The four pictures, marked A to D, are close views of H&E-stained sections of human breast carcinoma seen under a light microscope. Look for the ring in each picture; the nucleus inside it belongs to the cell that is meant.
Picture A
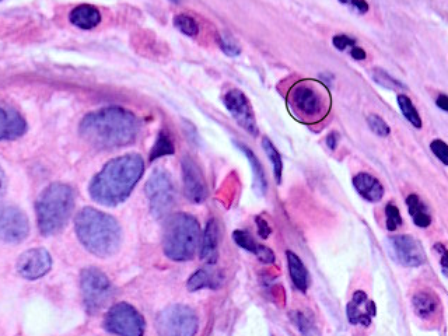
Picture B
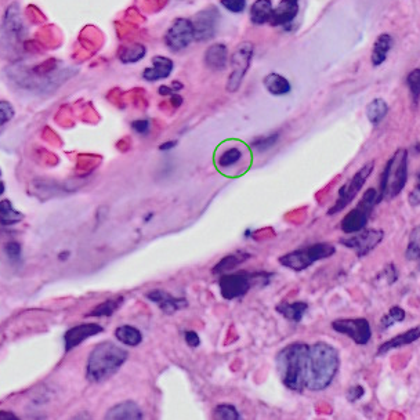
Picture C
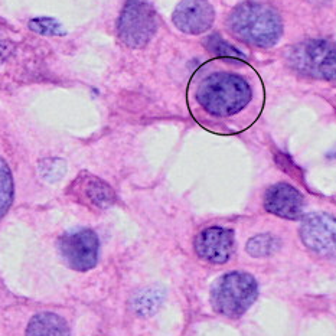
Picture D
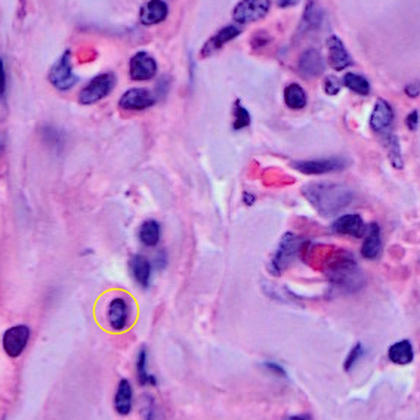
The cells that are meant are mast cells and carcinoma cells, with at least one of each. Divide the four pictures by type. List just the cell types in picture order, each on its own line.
mast cell
mast cell
carcinoma cell
mast cell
